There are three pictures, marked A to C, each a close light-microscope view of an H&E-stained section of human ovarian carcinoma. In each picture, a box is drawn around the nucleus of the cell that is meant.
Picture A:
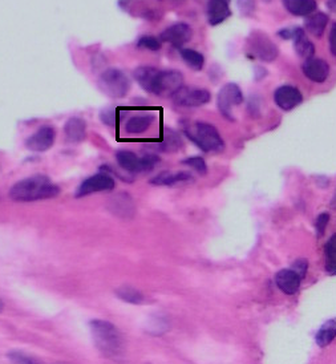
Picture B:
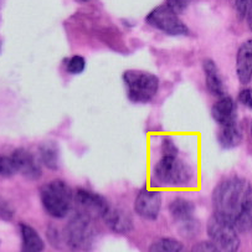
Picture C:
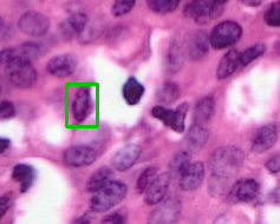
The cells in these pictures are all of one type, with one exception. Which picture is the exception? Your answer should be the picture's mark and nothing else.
B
